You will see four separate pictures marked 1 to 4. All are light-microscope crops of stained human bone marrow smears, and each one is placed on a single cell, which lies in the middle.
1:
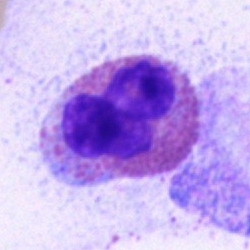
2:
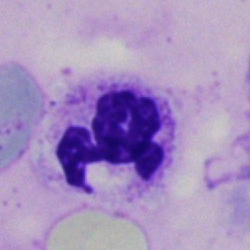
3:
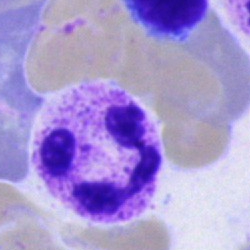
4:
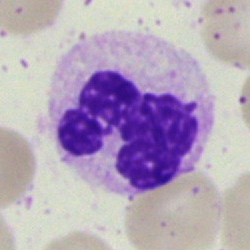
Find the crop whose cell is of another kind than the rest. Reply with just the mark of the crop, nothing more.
1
